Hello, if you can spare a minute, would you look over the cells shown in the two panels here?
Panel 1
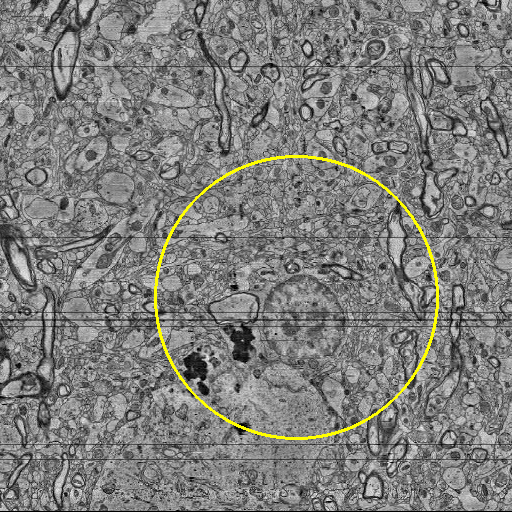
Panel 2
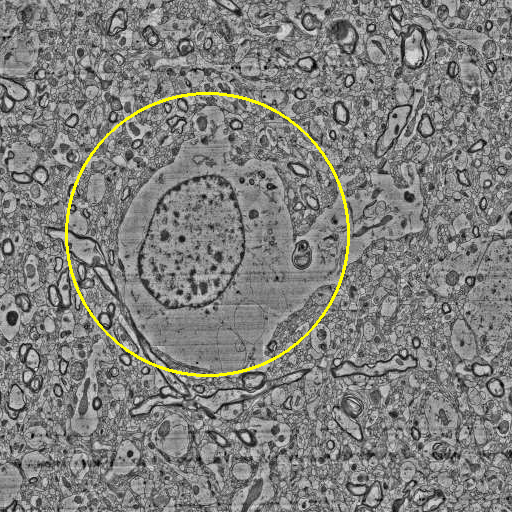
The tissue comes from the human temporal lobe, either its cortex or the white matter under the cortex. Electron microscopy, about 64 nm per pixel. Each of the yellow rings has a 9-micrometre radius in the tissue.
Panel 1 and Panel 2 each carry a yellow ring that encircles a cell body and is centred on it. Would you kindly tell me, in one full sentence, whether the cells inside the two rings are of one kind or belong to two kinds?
The cells at the centres of the rings in Panel 1 and Panel 2 belong to two kinds.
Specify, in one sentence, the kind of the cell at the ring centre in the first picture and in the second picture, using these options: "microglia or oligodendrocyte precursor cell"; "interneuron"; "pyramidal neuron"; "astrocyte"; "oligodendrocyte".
So the first is an oligodendrocyte, the second an astrocyte.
